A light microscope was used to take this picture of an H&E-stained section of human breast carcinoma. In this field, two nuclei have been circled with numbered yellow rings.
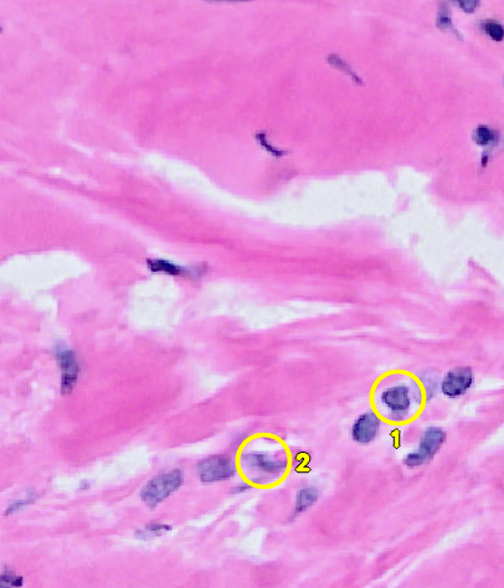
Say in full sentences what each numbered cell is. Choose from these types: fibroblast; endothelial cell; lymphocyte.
Cell 1 is a lymphocyte. Cell 2 is an endothelial cell.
